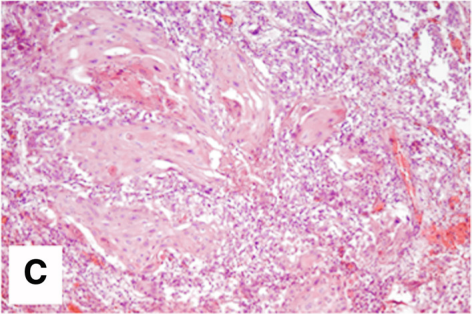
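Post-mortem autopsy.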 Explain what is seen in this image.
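Well differentiated squamous cell carcinoma forms nests of squamous cells whose centres are pale pink and keratinizing. The nests are surrounded by densely packed cells with small purple nuclei.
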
